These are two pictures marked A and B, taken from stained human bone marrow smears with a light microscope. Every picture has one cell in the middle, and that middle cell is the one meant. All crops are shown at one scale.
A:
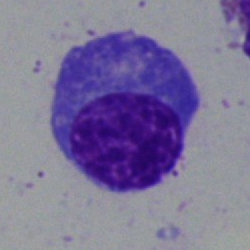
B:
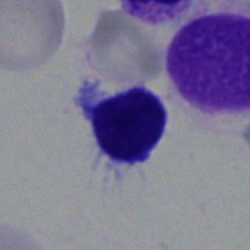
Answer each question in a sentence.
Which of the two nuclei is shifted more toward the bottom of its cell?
It is the nucleus in crop A that lies further toward the bottom of its cell.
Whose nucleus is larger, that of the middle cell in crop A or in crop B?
It is the nucleus in crop A, about 2 times as large in area as the one in crop B.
